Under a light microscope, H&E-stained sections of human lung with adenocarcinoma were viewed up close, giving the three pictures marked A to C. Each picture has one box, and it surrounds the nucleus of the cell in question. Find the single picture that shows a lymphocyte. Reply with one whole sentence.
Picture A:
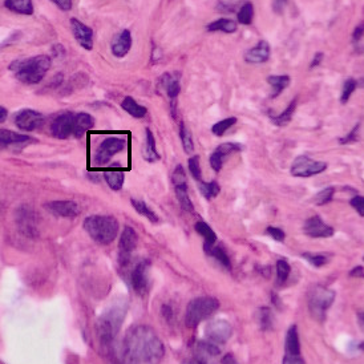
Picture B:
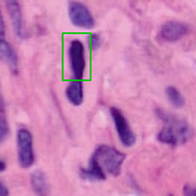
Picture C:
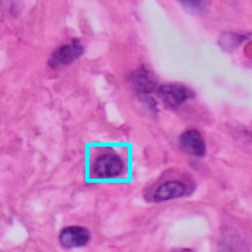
It is picture B that shows the lymphocyte.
